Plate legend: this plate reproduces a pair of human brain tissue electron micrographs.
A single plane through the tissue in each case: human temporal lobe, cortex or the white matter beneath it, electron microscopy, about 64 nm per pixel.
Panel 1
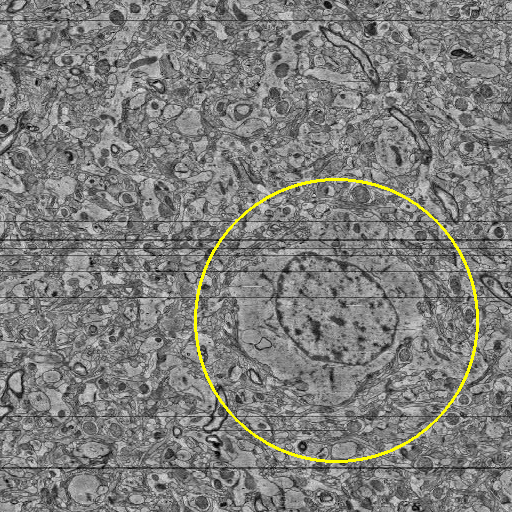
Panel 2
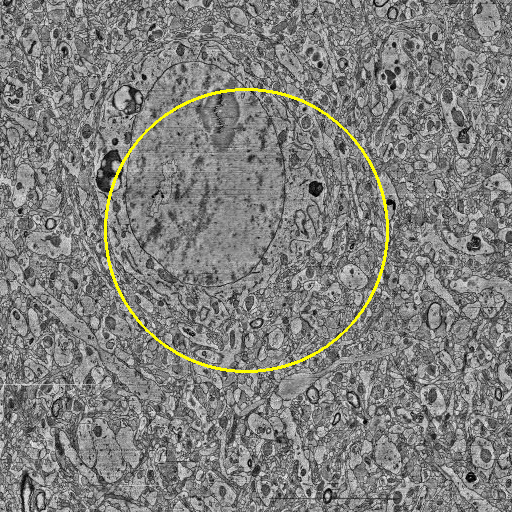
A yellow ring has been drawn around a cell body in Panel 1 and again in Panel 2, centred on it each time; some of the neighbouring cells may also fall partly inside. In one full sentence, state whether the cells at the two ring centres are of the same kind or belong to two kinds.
The ring-centred cells of Panel 1 and Panel 2 belong to two kinds.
